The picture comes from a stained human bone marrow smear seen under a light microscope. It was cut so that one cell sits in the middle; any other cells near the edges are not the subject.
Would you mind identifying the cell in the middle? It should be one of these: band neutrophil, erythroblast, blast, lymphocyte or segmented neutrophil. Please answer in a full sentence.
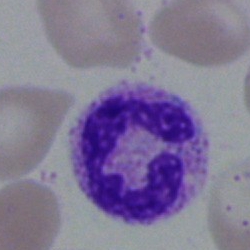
The cell under consideration, at the middle of the crop, is a segmented neutrophil.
